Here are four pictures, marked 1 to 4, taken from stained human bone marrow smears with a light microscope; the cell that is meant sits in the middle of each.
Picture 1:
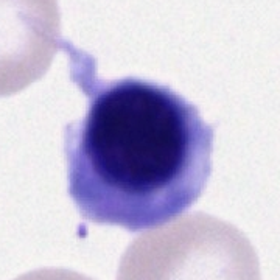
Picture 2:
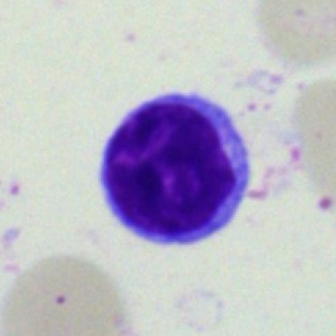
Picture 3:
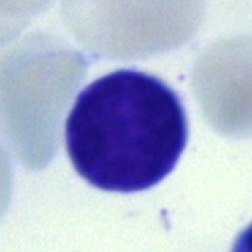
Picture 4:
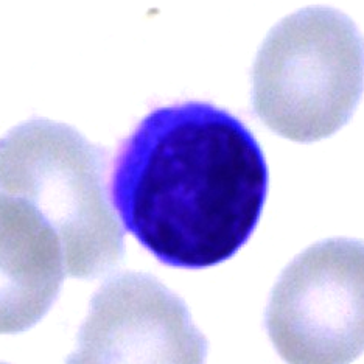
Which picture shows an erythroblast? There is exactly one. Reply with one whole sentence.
The erythroblast is the one in picture 1.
